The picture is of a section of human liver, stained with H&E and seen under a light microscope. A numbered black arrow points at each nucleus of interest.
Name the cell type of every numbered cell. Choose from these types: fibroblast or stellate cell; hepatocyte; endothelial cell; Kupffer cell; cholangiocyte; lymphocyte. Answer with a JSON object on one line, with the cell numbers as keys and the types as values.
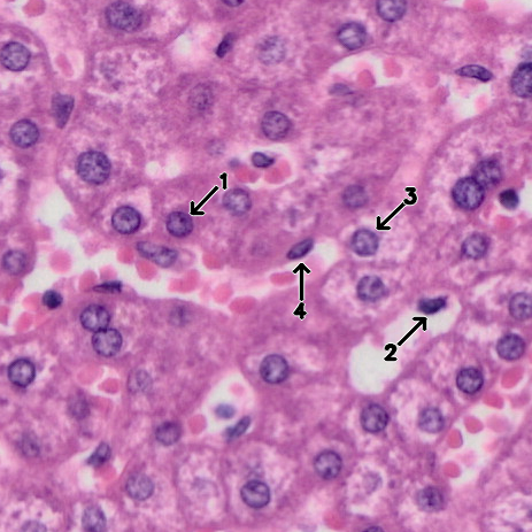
{"1": "hepatocyte", "2": "lymphocyte", "3": "hepatocyte", "4": "Kupffer cell"}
